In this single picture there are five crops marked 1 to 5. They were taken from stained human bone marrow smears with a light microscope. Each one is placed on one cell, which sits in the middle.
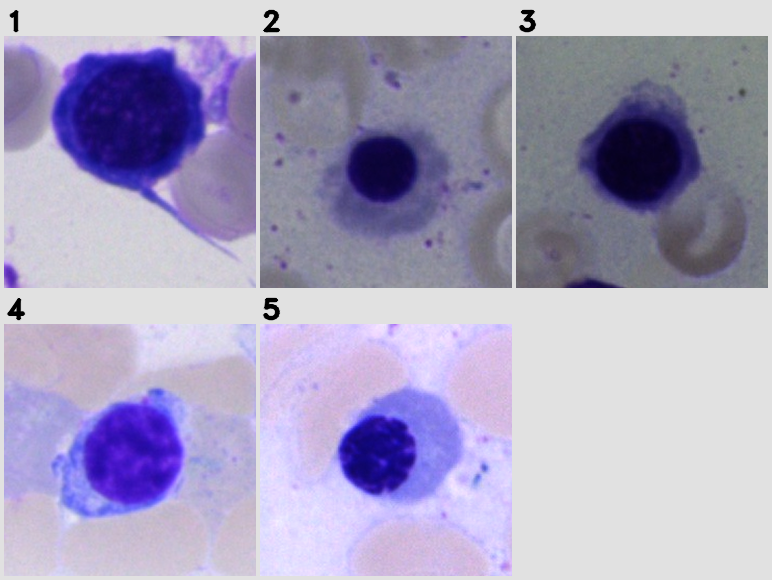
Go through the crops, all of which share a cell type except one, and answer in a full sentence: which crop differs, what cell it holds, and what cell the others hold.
Crop 4 is the odd one out, being a lymphocyte, while all the other crops show normoblasts.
